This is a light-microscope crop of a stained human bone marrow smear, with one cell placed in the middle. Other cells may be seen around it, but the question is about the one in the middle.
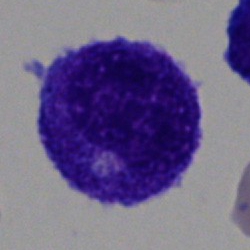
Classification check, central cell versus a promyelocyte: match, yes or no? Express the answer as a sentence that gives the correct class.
Yes, the centrally placed cell is a promyelocyte.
